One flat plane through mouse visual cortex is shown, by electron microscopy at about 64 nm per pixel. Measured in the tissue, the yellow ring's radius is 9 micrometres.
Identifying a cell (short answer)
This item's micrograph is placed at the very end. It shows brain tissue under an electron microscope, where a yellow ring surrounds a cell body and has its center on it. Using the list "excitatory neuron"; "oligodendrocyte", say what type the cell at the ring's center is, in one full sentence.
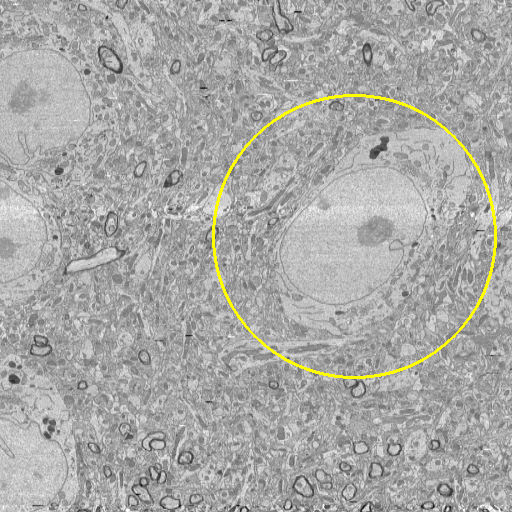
This picture shows an excitatory neuron at the center of the yellow ring drawn on it.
